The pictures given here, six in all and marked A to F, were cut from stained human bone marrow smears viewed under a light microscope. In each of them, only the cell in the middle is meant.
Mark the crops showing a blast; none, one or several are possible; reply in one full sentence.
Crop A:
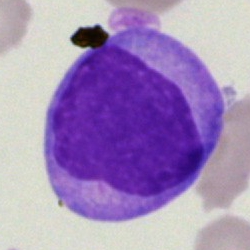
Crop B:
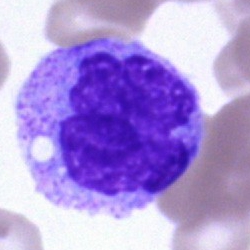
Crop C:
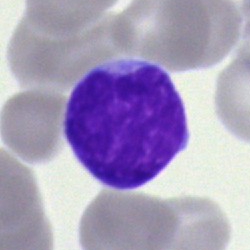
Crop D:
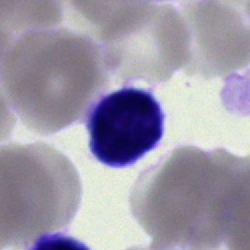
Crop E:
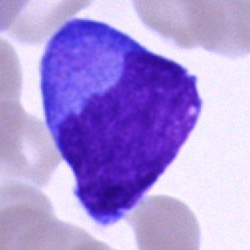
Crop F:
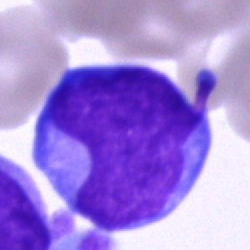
The central cells are blasts in crops A, C, E and F.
